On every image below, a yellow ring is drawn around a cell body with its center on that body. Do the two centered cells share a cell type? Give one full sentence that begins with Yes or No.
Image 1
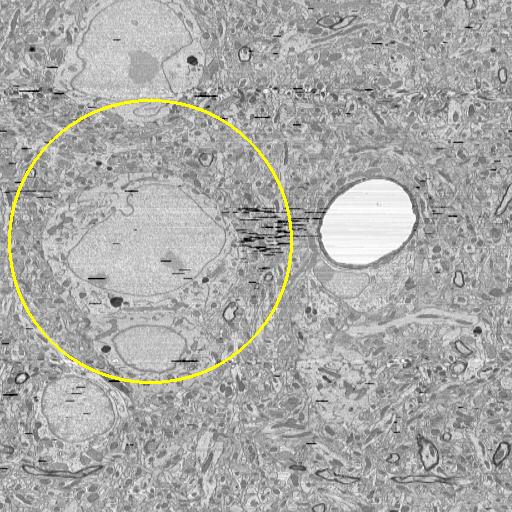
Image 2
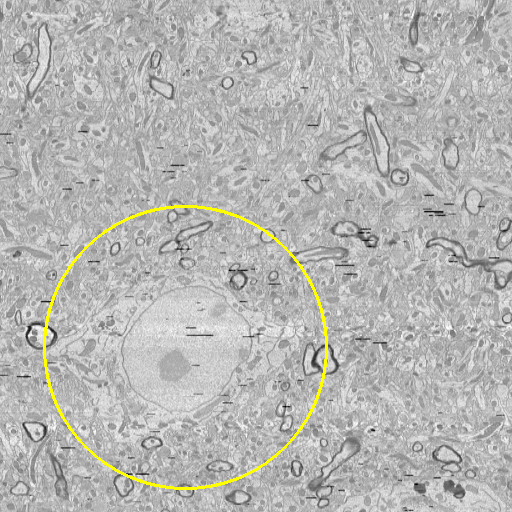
Yes, the centered cells in the two images are of a single cell type.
